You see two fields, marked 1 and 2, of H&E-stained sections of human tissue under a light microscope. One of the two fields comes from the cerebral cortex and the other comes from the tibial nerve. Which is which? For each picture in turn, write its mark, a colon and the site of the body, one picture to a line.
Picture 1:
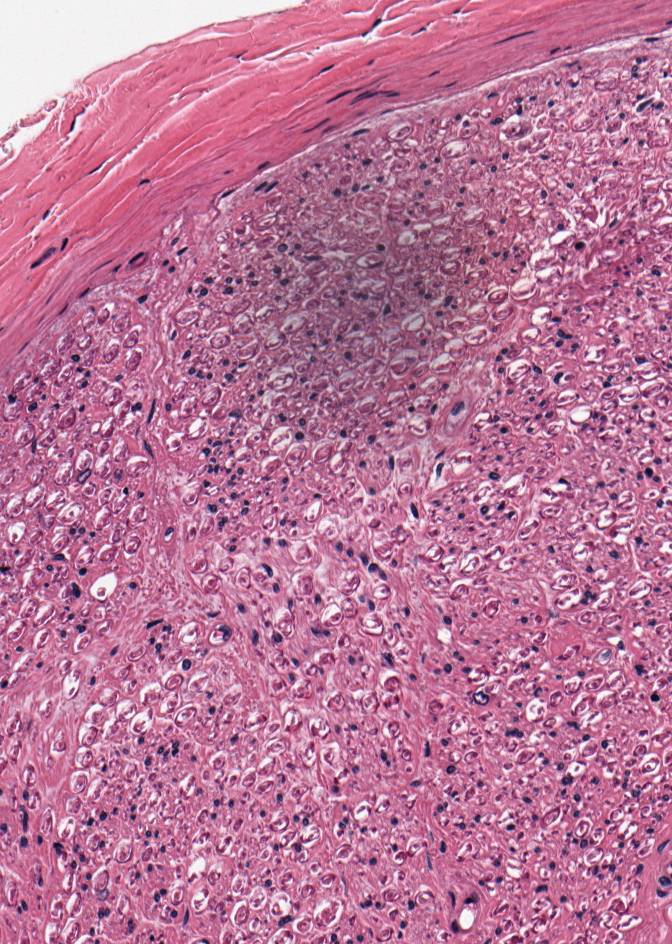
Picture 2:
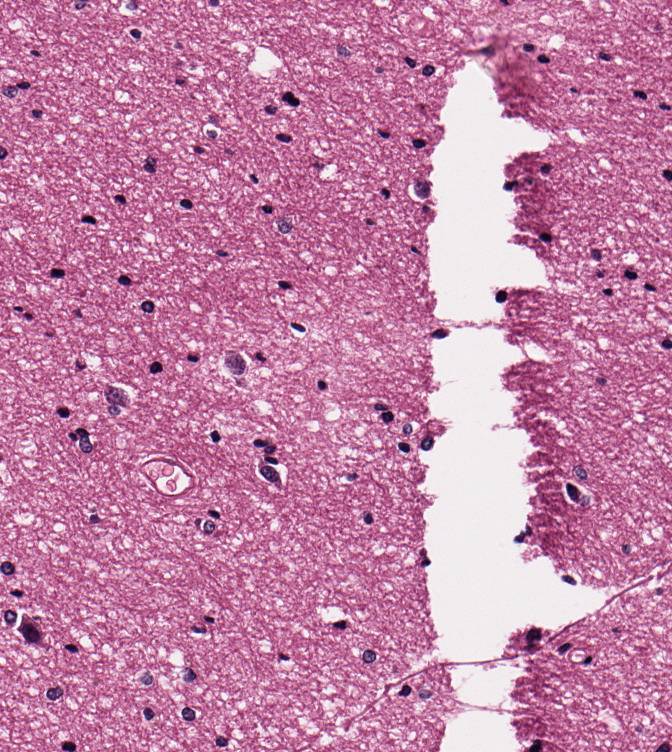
1: tibial nerve
2: cerebral cortex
